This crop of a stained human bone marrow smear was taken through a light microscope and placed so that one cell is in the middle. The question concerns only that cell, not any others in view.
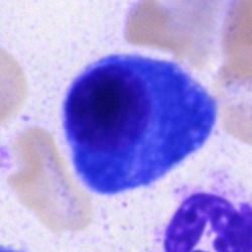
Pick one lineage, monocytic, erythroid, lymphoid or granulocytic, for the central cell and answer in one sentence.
In terms of lineage, the cell in the middle is lymphoid.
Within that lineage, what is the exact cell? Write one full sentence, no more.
To answer, the cell in the center of the crop is a plasma cell.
